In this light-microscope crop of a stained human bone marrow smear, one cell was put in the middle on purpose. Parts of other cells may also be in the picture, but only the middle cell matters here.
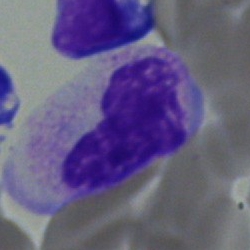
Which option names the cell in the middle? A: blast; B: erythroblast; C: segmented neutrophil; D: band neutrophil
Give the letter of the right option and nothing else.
D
